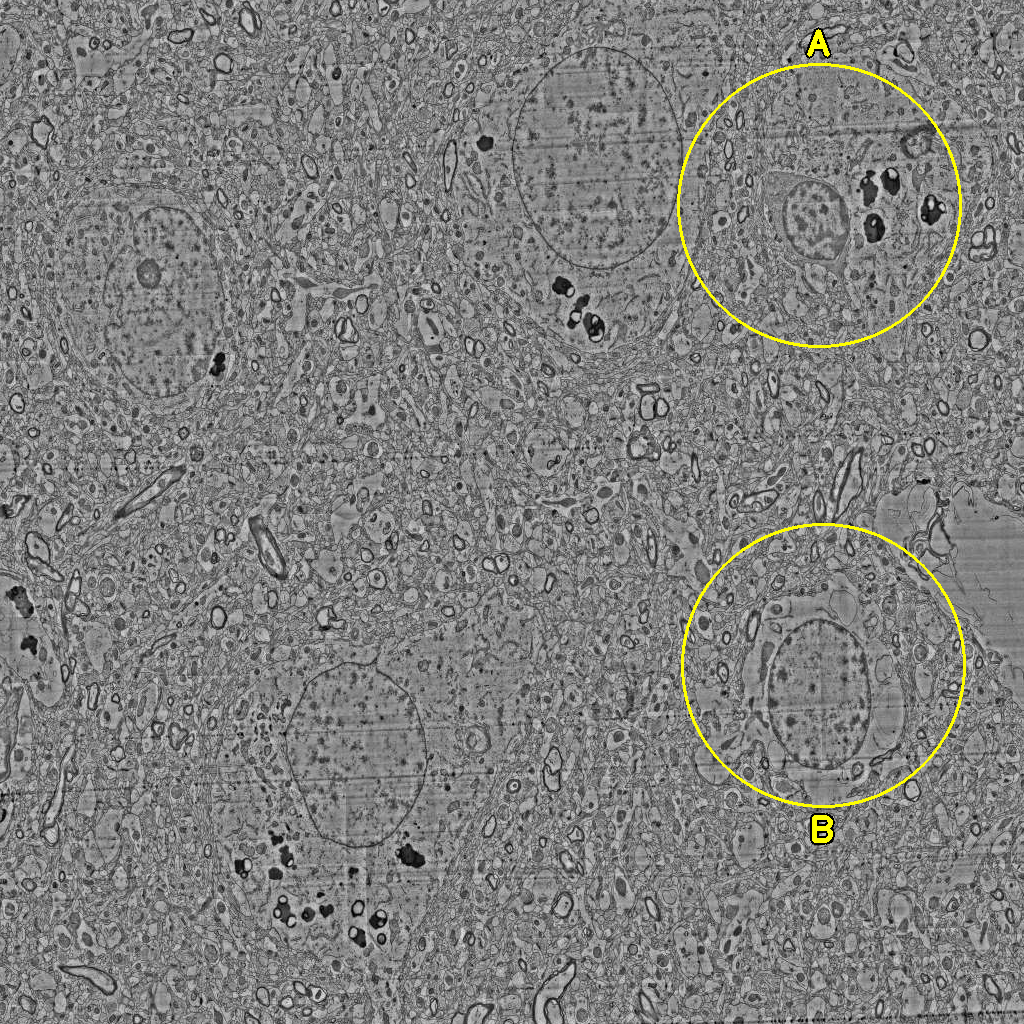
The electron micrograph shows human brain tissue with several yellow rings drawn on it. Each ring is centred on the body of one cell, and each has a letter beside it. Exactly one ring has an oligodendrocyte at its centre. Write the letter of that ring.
A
